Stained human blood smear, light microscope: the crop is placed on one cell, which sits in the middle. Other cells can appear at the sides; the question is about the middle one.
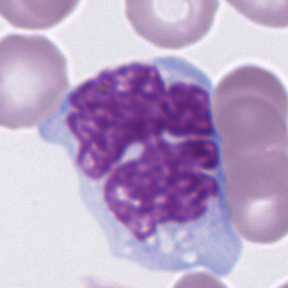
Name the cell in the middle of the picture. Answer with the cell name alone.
monocyte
